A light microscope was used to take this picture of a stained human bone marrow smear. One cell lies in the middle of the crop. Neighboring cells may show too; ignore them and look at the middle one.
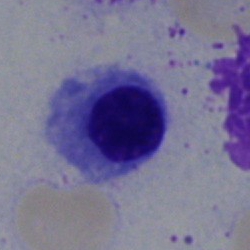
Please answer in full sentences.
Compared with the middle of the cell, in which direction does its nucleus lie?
The nucleus is pushed toward the right of the cell.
